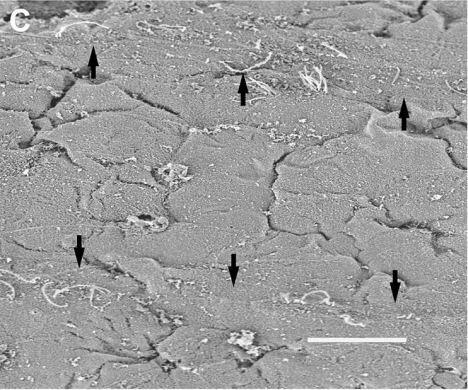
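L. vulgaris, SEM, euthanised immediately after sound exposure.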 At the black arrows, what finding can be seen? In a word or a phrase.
Almost totally lost their kinocilia.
